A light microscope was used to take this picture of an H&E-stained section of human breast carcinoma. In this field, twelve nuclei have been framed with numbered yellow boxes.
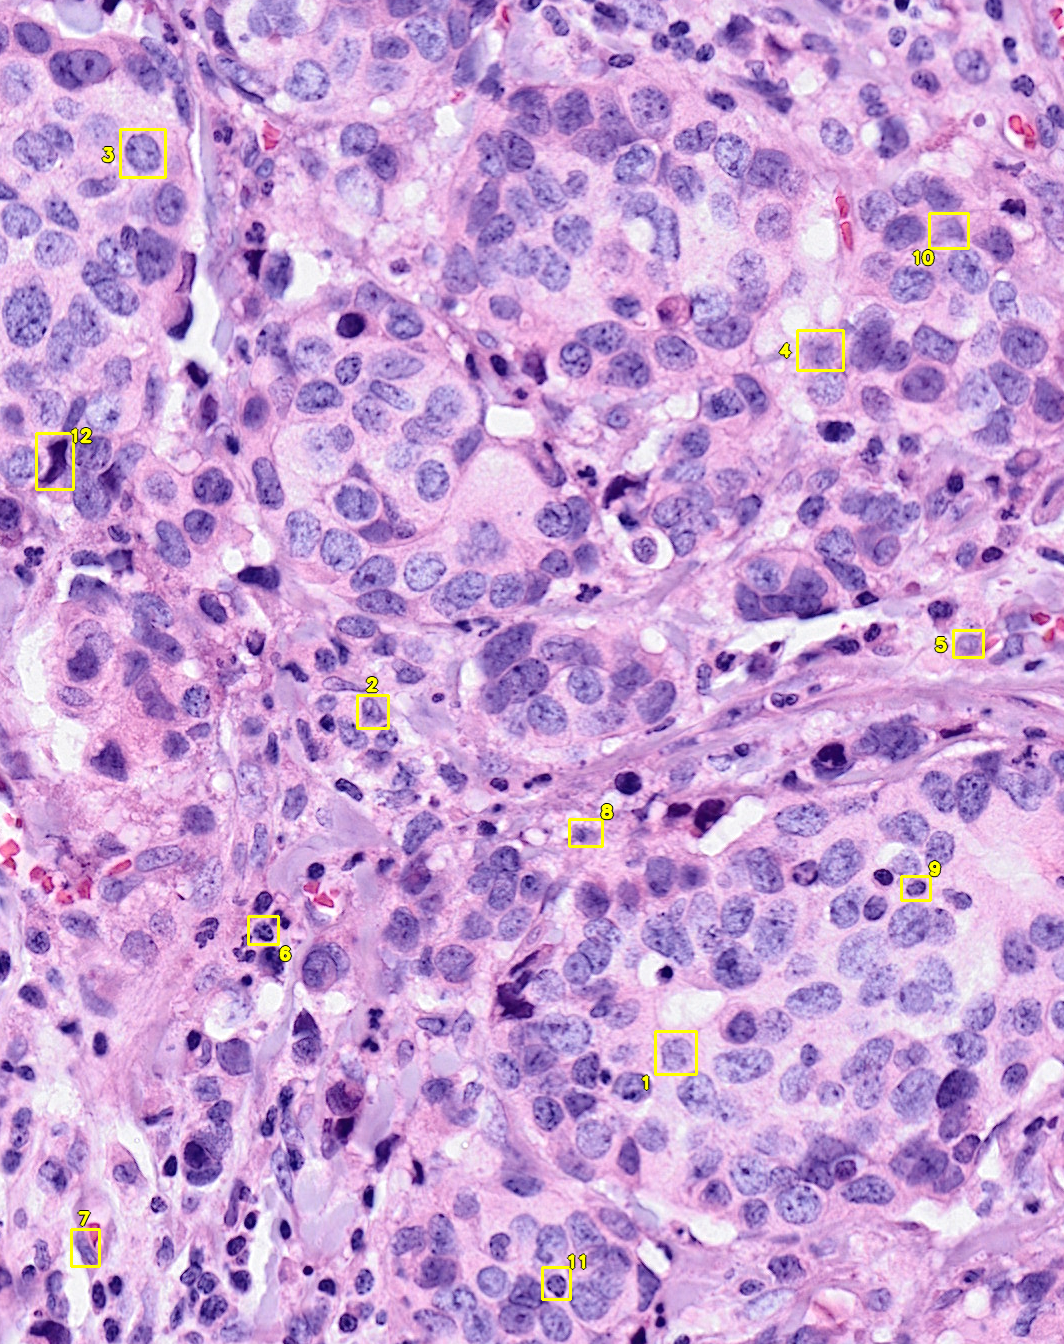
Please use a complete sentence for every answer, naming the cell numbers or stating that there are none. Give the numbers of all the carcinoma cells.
The cells assigned the numbers 1, 3, 4, 10 and 12 are carcinoma cells.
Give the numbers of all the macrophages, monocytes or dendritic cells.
The cells which carry the numbers 2 and 8 are macrophages, monocytes or dendritic cells.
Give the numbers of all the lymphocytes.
In short, the numbered cells 6, 9 and 11 are lymphocytes.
